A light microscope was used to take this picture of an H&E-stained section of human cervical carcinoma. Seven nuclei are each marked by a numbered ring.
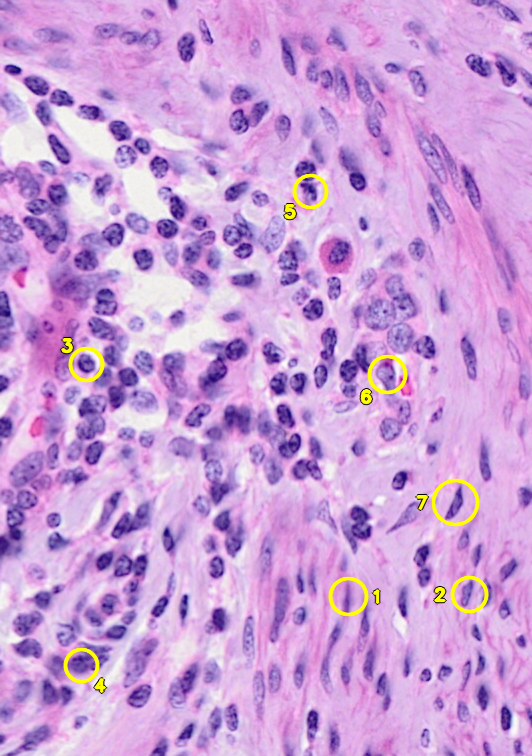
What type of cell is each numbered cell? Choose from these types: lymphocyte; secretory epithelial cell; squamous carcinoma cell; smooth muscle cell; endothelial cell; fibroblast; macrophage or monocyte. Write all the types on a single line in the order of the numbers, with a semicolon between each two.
smooth muscle cell; smooth muscle cell; lymphocyte; lymphocyte; lymphocyte; endothelial cell; fibroblast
